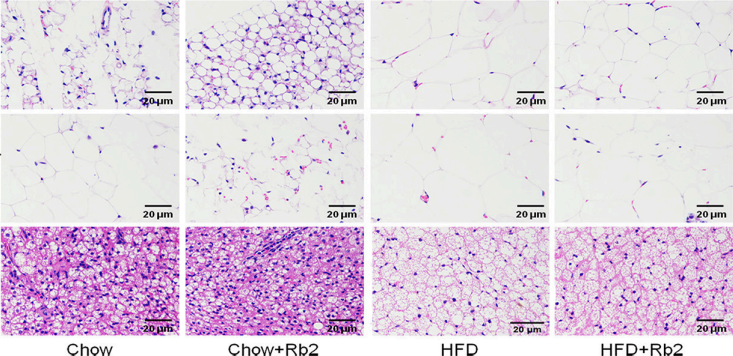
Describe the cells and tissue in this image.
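The upper two rows show fat tissue made of polygonal cells that look empty, each bounded by a thin pink rim with a flattened dark nucleus pressed to its edge; in some fields these cells are small and closely packed, in others they are much larger. The bottom row is a denser tissue of smaller cells with pink cytoplasm filled with many small clear droplets and round central nuclei, paler and more vacuolated in some fields than in others. These are white fat adipocytes above and brown fat adipocytes below.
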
